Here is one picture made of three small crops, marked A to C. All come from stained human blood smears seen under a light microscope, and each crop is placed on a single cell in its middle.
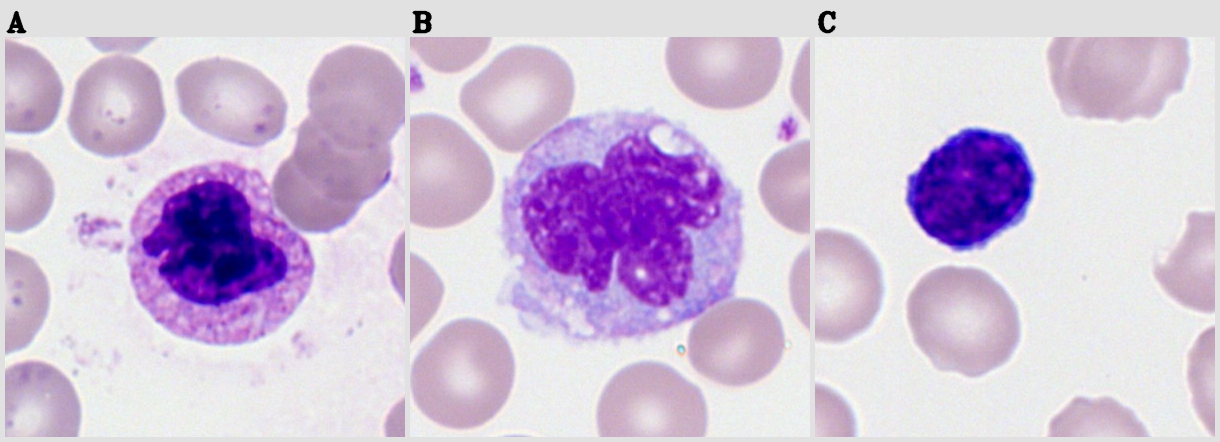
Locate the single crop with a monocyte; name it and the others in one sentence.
Going crop by crop, crop B is a monocyte, while crop A is a basophil and crop C is a lymphocyte.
